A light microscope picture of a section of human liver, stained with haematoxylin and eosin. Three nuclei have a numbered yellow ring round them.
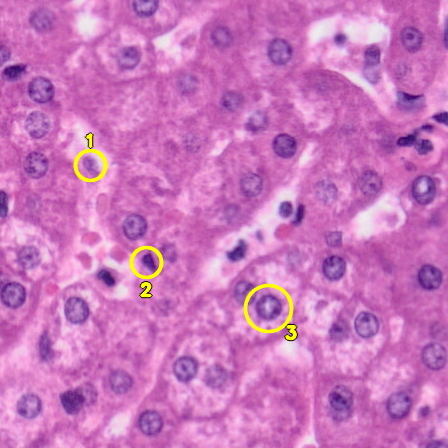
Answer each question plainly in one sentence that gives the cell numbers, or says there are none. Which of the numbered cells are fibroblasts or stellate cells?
Whereas cell 2 is a fibroblast or stellate cell, the other numbered cells are not.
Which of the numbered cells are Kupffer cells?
Among the numbered cells, the one that is a Kupffer cell is cell 1 alone.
